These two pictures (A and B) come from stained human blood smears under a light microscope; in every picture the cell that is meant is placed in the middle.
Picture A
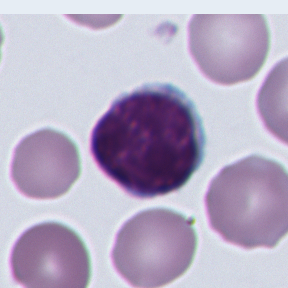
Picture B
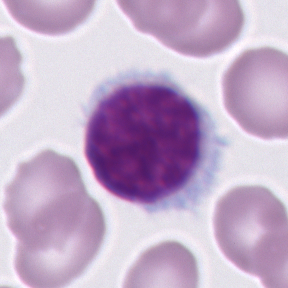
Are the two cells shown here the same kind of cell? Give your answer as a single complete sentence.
No, the types are not the same, since picture A shows a typical lymphocyte and picture B a hairy cell.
